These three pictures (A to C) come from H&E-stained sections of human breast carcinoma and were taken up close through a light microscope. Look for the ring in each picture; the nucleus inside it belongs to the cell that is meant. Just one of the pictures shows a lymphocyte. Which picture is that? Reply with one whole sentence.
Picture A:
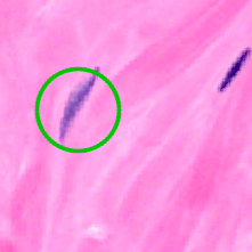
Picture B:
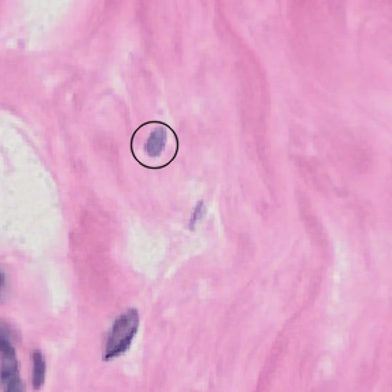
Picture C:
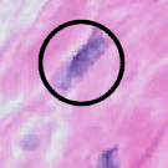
The lymphocyte is the one in picture B.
